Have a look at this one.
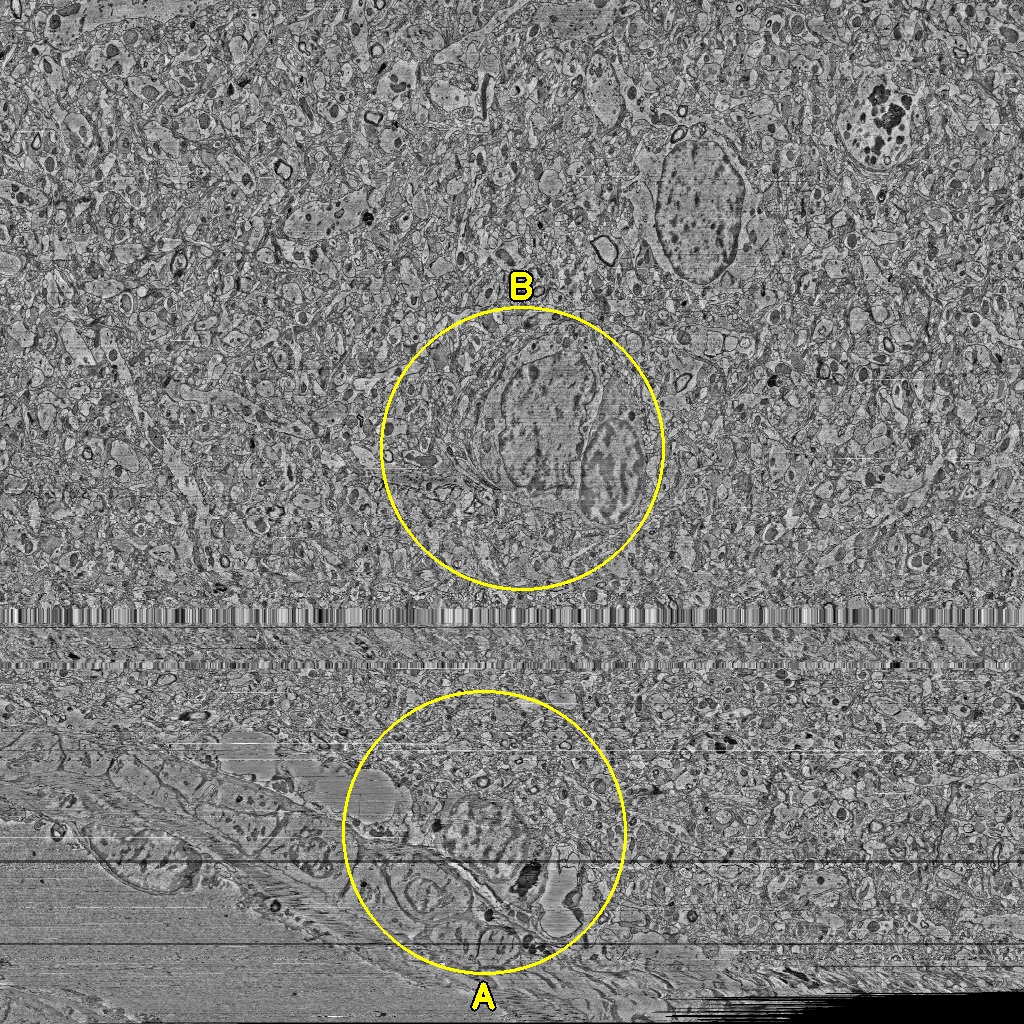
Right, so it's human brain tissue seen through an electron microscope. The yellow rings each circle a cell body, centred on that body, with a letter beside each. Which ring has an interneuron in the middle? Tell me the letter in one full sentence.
That kind of cell is sitting in the middle of ring B there.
